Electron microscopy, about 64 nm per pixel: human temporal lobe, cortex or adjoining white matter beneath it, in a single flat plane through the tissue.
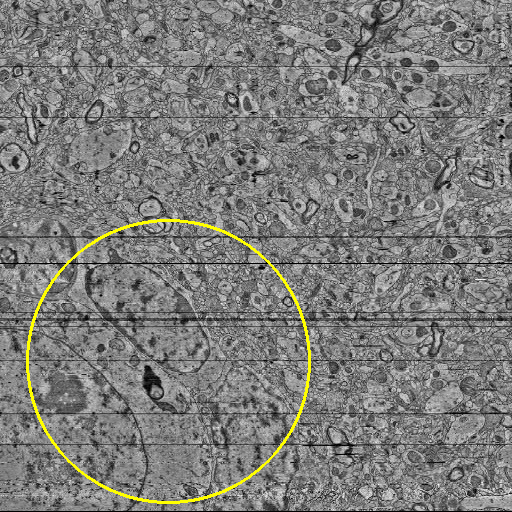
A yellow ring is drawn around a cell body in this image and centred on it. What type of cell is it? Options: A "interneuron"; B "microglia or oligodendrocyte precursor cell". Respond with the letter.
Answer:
B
